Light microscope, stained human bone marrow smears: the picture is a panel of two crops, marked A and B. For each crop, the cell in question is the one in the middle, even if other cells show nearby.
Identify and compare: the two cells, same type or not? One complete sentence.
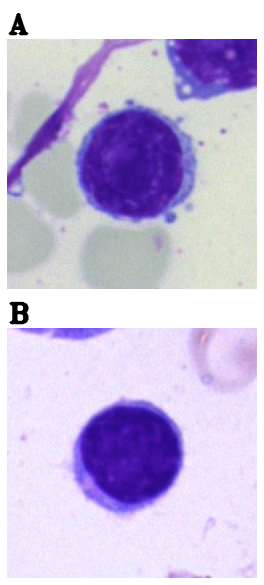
Yes, in the case of both crops, the central cells are lymphocytes.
